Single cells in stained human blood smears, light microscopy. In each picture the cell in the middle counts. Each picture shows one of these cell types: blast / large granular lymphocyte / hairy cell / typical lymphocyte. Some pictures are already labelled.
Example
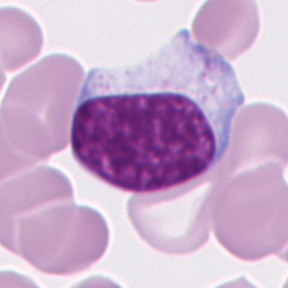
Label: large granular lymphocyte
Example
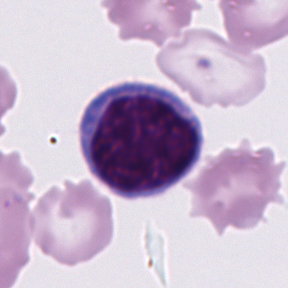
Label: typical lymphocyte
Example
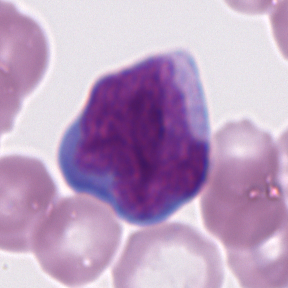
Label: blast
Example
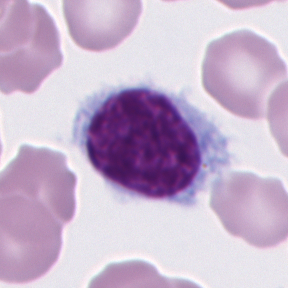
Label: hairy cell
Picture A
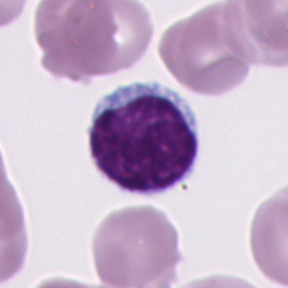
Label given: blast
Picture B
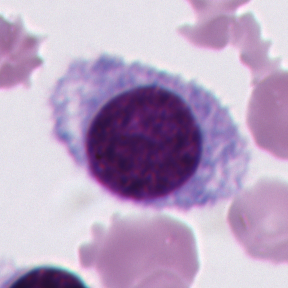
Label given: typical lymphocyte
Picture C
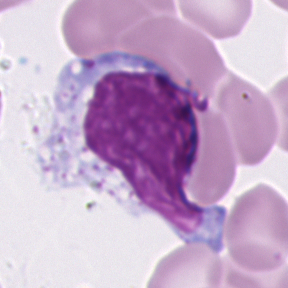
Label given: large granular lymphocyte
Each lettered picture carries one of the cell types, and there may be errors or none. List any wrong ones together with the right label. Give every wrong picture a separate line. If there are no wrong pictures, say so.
A is labelled blast; correct label: typical lymphocyte
B is labelled typical lymphocyte; correct label: hairy cell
